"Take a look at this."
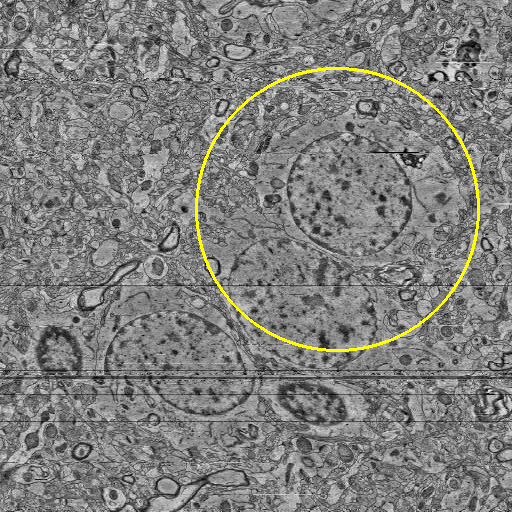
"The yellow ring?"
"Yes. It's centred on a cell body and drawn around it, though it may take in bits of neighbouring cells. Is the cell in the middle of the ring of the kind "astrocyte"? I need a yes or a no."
Yes, it is of the kind asked about.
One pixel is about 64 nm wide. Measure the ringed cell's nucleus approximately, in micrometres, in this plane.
In this plane the nucleus measures roughly 8 micrometres across.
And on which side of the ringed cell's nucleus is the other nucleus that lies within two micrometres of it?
That other nucleus sits to the lower left of it.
